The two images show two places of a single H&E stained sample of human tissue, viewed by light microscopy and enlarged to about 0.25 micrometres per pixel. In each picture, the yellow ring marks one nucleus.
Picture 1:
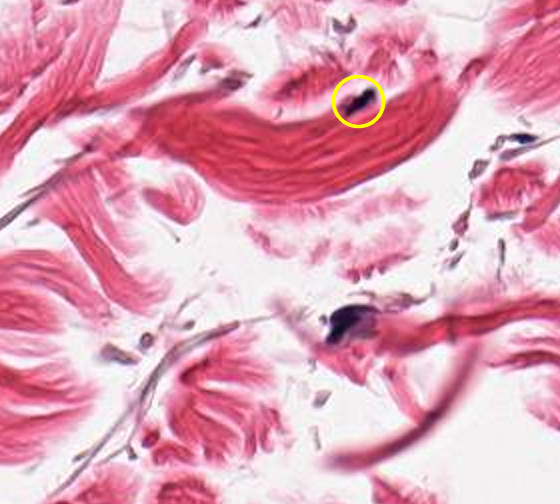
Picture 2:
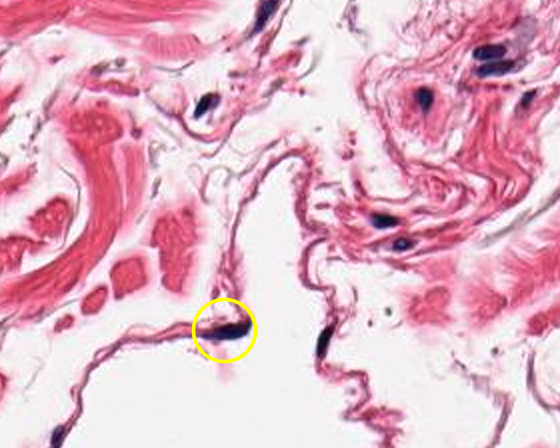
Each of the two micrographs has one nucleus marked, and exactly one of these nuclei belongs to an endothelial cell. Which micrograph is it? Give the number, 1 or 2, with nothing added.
2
